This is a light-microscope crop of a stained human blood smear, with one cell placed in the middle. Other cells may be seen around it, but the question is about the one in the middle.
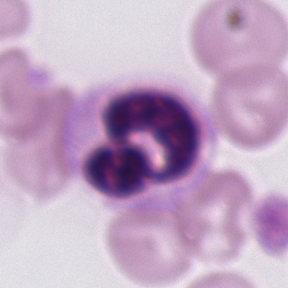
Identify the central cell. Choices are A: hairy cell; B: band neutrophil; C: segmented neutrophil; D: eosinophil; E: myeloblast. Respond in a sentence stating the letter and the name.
The best answer is option C, since the cell in the middle is a segmented neutrophil.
